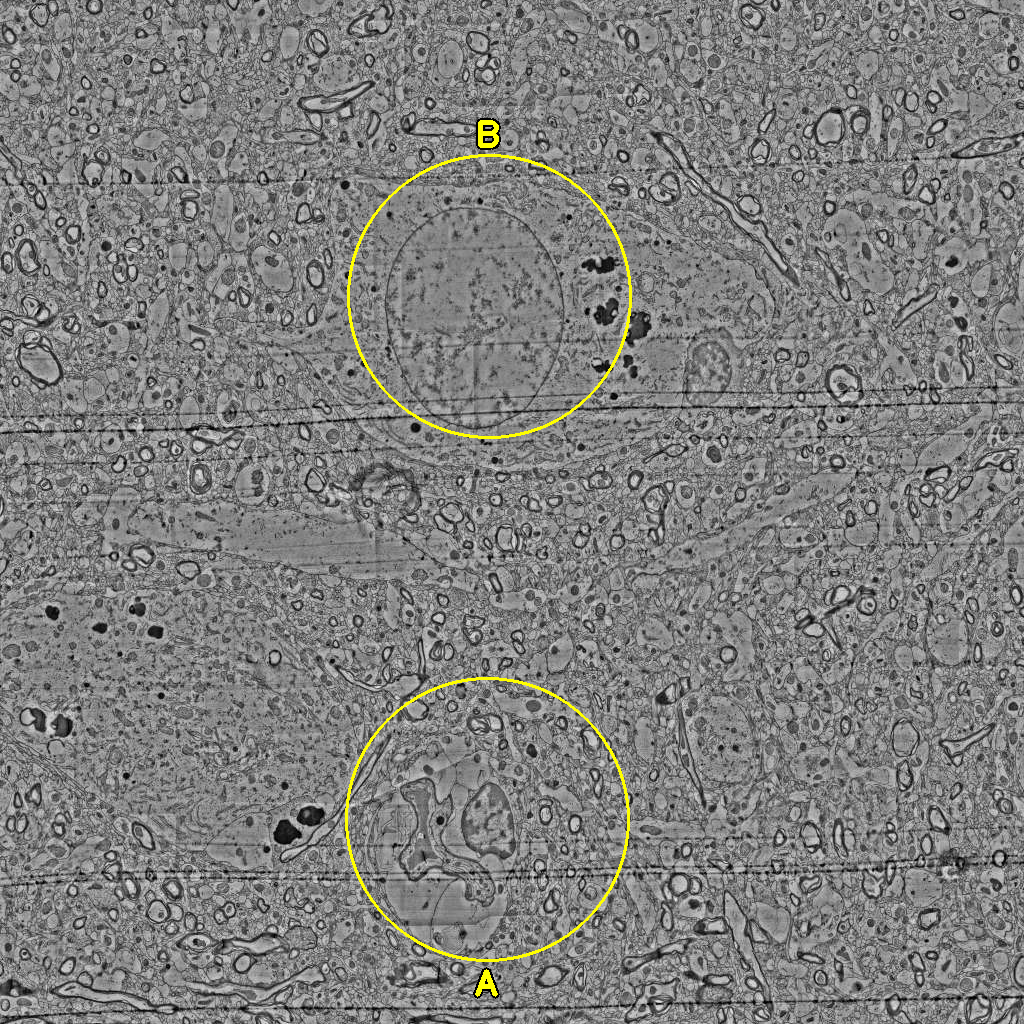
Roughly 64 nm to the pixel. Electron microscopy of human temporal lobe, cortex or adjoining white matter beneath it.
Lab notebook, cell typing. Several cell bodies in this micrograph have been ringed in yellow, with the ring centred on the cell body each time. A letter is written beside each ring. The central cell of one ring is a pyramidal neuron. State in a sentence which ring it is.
It is ring B.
